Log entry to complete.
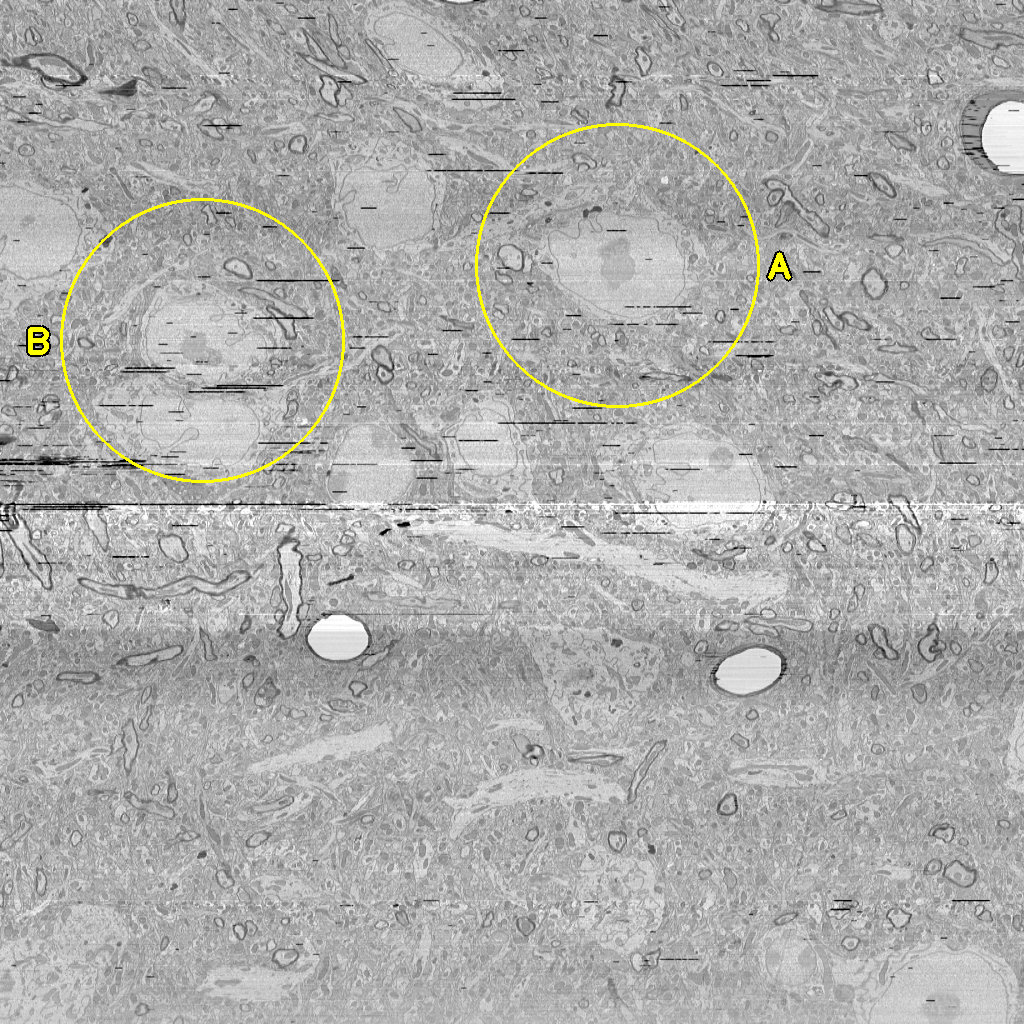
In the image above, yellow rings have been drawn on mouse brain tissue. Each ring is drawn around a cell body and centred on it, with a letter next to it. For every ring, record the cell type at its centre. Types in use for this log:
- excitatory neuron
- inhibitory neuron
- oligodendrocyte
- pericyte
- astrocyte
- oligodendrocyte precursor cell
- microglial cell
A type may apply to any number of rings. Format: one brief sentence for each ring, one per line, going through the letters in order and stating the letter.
In ring A, the centred cell is an excitatory neuron.
In ring B, the centred cell is an inhibitory neuron.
